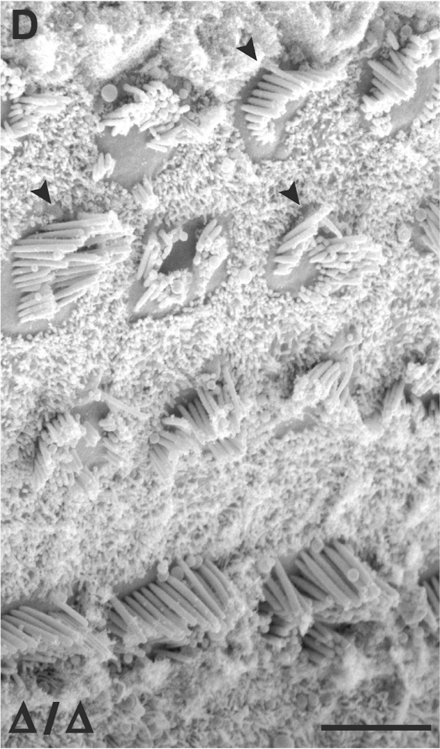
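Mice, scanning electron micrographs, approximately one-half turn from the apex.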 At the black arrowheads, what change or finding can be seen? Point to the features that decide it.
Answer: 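The marked bundles lack a neat crescent shape. Stereocilia in the marked bundles fan out or lie in irregular clusters.
Hence: flattened, splayed, and distorted bundles.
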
